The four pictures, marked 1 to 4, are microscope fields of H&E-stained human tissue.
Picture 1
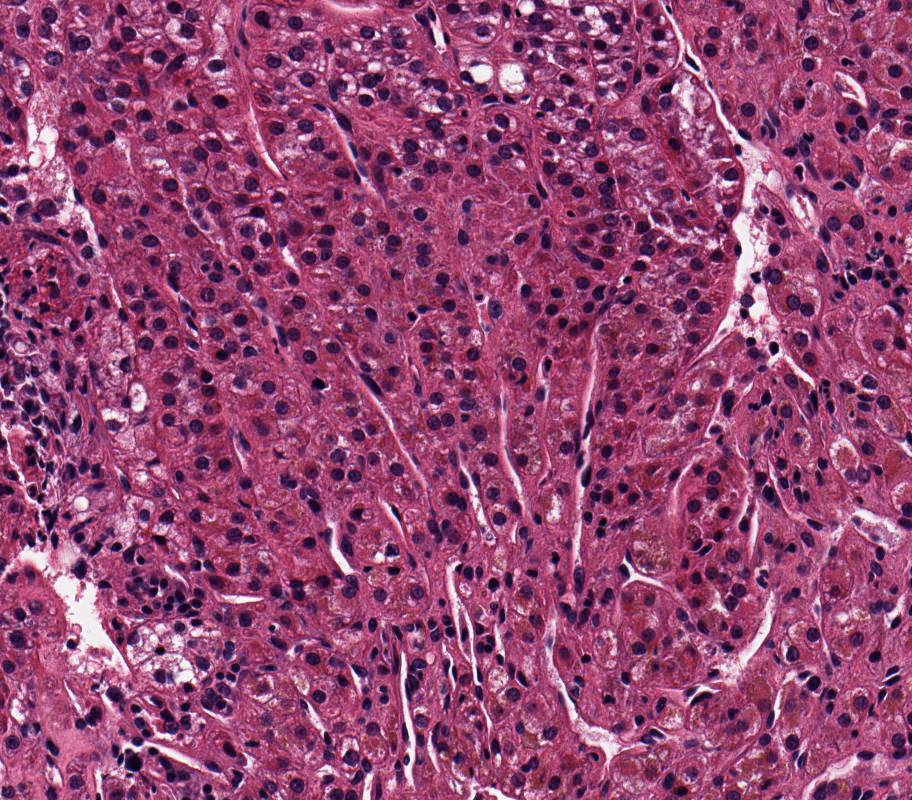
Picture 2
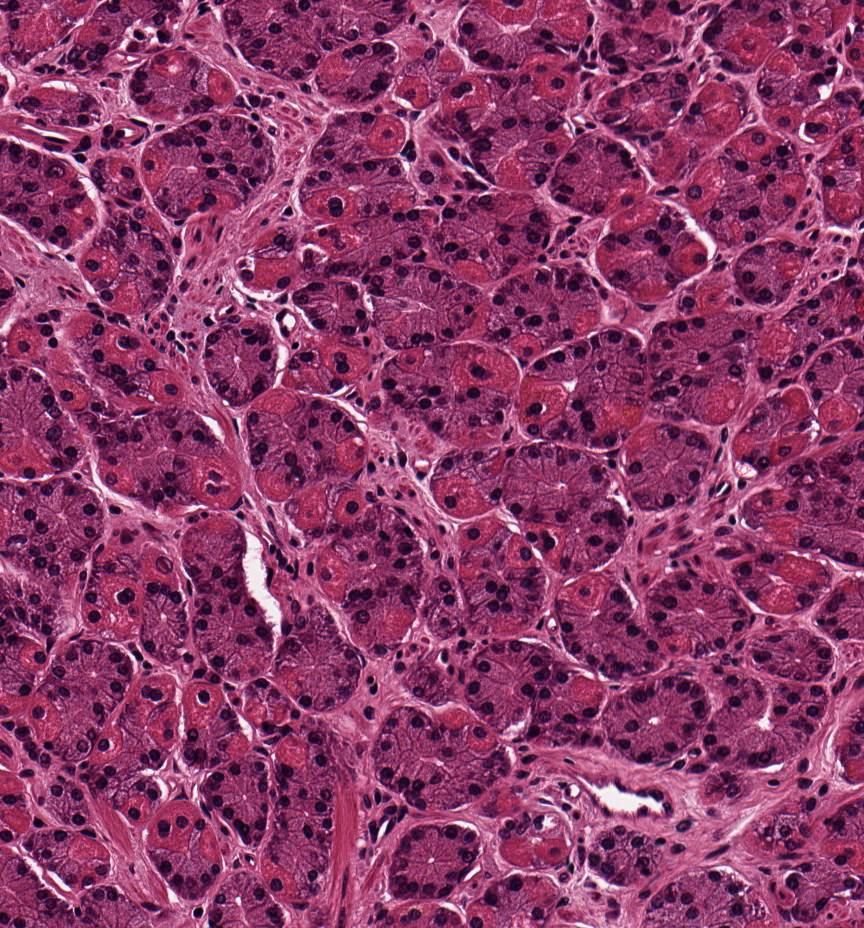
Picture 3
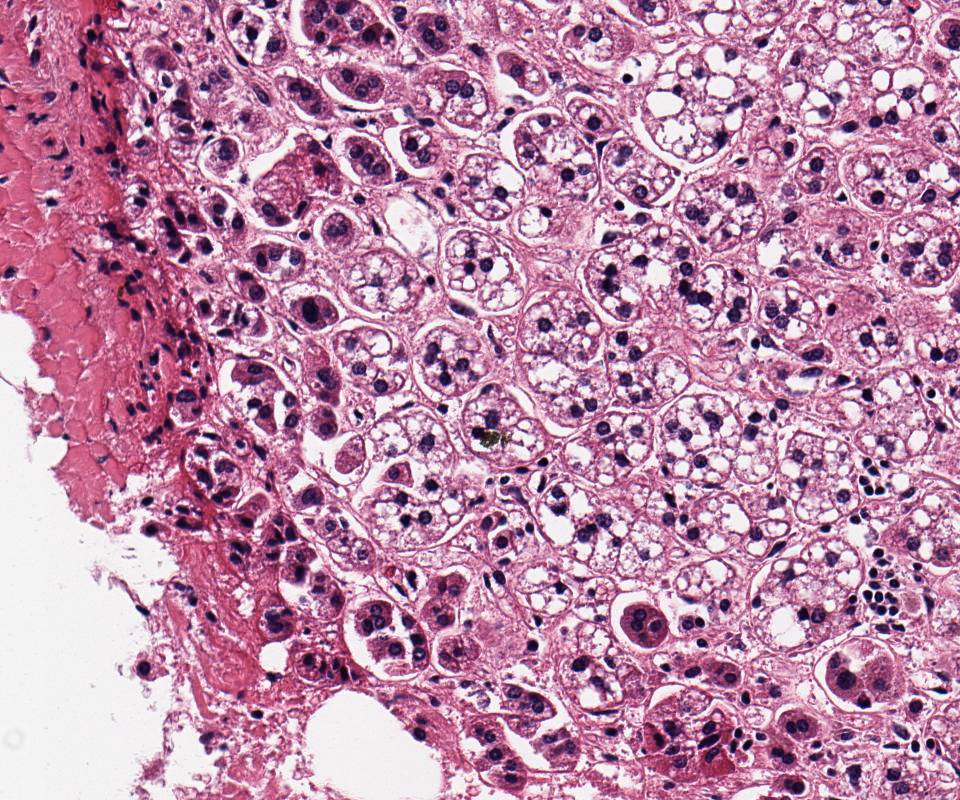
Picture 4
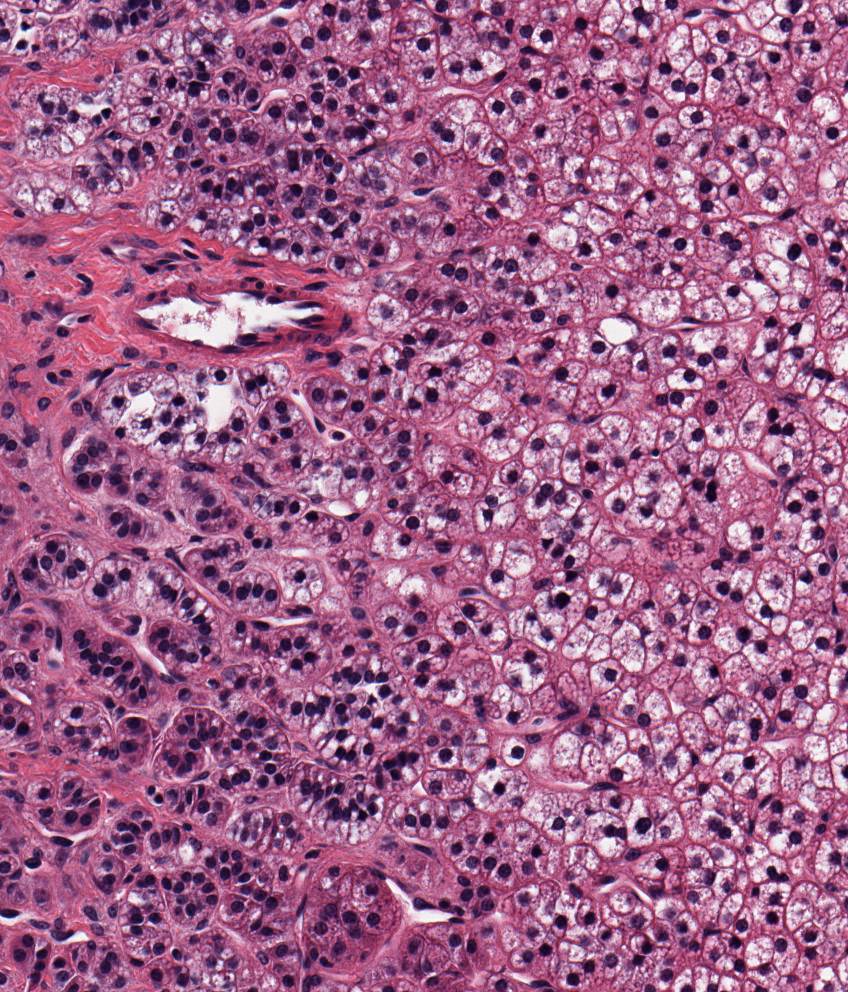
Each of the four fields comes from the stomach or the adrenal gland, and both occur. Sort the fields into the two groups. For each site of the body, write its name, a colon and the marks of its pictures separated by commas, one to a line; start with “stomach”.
stomach: 2
adrenal gland: 1, 3, 4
